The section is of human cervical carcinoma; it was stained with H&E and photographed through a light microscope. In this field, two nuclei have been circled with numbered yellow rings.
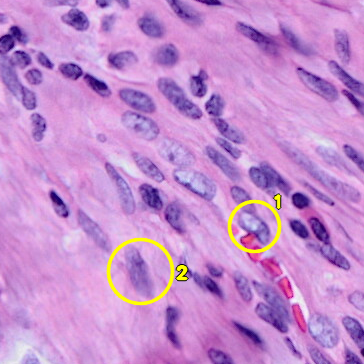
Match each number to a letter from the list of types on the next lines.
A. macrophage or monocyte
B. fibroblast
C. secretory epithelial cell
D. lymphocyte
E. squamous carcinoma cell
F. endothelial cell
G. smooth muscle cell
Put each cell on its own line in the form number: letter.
1: F
2: B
